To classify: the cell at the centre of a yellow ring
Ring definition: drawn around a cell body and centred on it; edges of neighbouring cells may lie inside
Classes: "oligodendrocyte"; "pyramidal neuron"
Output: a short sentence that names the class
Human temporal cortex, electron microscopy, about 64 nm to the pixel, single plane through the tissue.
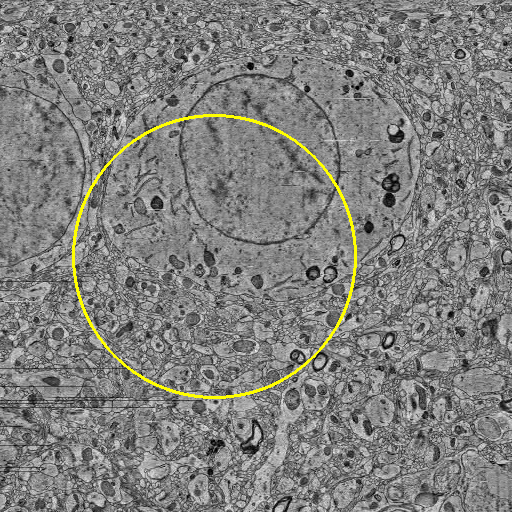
The ringed cell is a pyramidal neuron.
